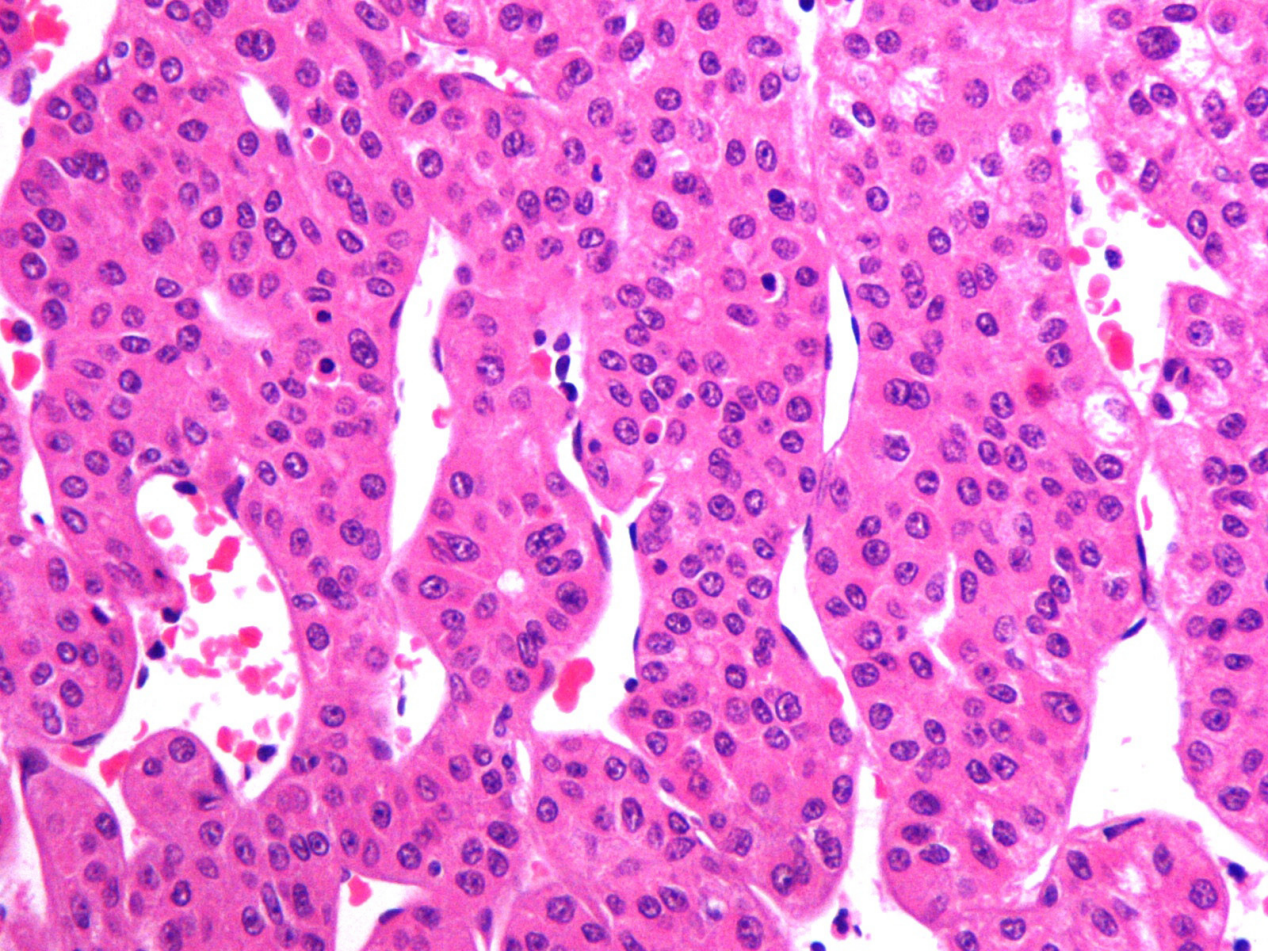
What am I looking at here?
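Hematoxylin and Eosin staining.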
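A neoplasm of polygonal cells with abundant pink cytoplasm grows in broad trabeculae several cells thick. The nuclei are round to oval, enlarged and purple, many with a distinct nucleolus, and vary somewhat in size. Between the trabeculae run sinusoid-like vascular spaces of varying width, some holding red blood cells. These spaces are lined by a single layer of flat endothelial cells with thin, dark, elongated nuclei.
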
